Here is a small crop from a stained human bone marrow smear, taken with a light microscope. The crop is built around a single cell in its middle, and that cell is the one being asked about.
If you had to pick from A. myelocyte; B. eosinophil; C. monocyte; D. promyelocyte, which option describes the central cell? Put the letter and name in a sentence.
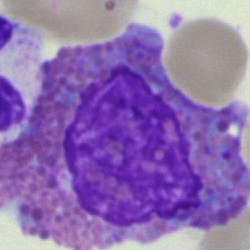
This one is option B, since the cell at the center is an eosinophil.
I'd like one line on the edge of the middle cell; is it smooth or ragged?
The edge of the cell is broken up by ragged stretches or by outward projections.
